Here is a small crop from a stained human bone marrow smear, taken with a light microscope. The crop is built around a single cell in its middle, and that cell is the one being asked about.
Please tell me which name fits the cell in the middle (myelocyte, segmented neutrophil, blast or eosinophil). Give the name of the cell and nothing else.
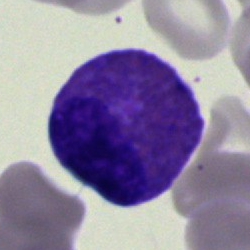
eosinophil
